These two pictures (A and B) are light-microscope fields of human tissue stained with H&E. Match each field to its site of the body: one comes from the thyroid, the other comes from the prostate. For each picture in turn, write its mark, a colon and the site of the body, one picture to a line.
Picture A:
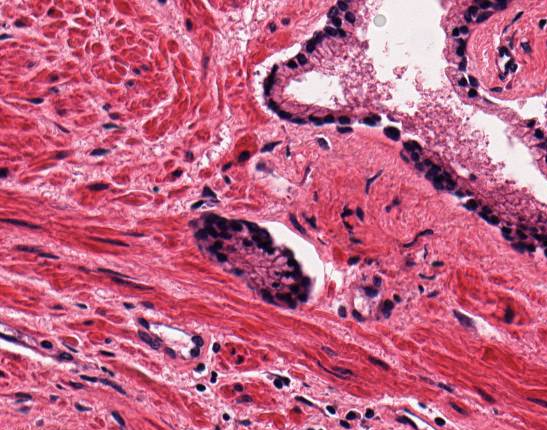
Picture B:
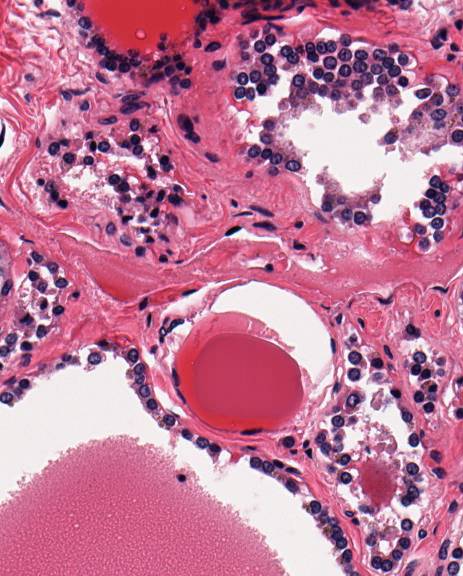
A: prostate
B: thyroid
